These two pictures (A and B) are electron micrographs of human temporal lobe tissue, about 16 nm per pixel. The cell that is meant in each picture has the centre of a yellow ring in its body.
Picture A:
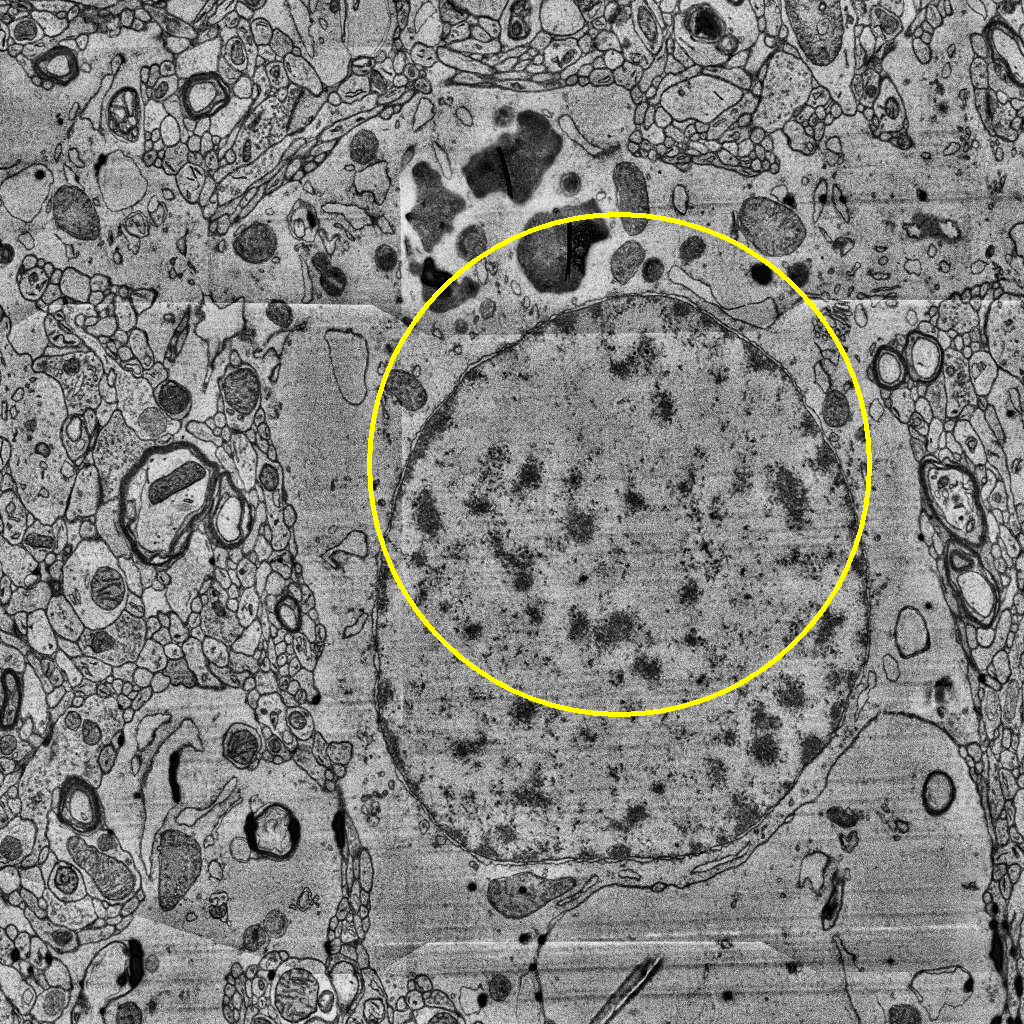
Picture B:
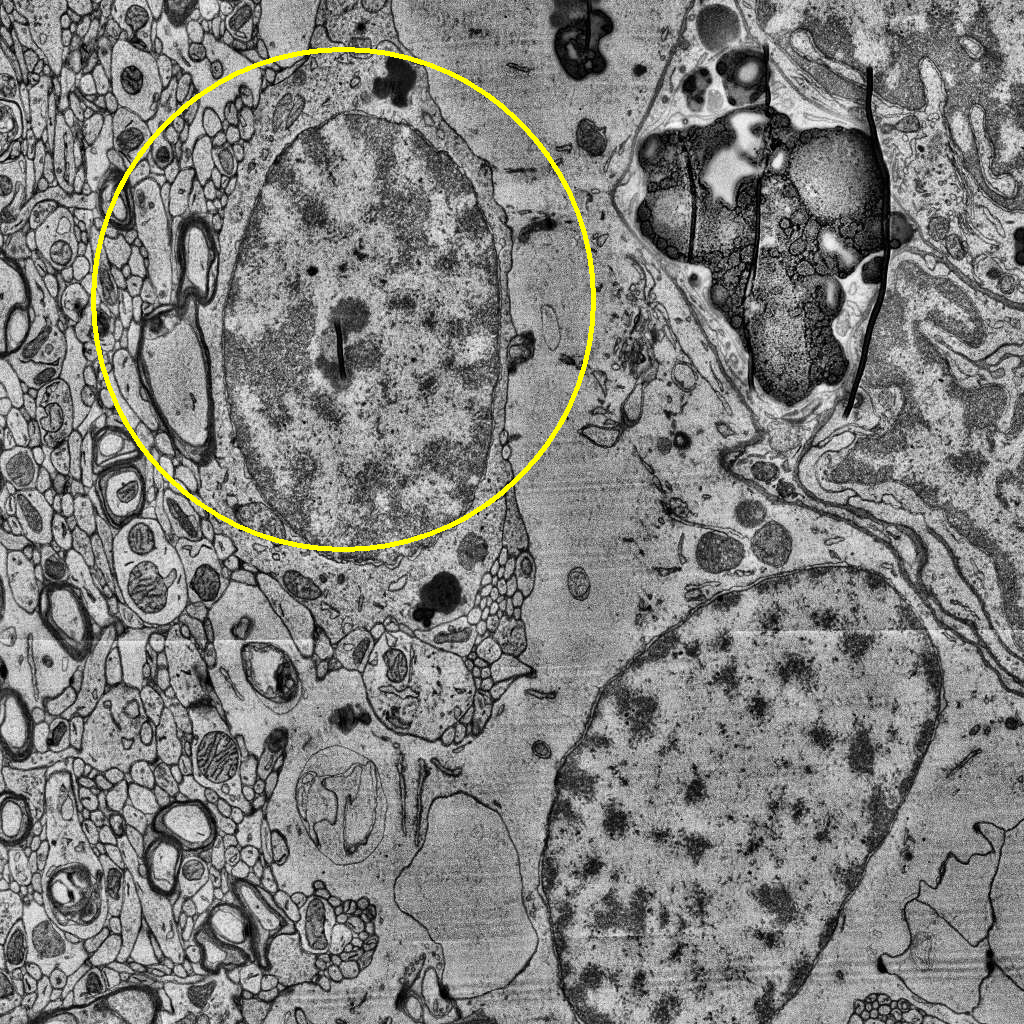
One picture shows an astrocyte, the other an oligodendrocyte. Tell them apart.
Picture B shows an oligodendrocyte, while picture A shows an astrocyte.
